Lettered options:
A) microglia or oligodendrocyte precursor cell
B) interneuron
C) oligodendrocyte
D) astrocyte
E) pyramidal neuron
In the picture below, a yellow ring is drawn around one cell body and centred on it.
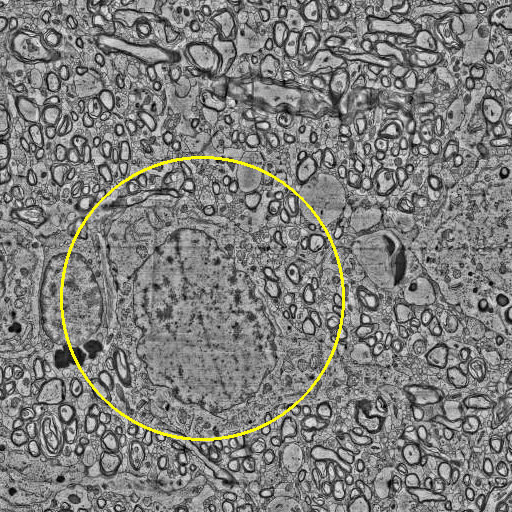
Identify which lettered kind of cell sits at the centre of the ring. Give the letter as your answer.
B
